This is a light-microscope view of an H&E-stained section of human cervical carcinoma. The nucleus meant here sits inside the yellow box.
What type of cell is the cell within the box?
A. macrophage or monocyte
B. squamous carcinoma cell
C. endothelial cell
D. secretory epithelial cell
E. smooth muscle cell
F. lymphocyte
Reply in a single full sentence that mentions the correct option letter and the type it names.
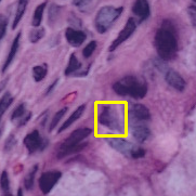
Option D is right in classifying the cell within the box as a secretory epithelial cell.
